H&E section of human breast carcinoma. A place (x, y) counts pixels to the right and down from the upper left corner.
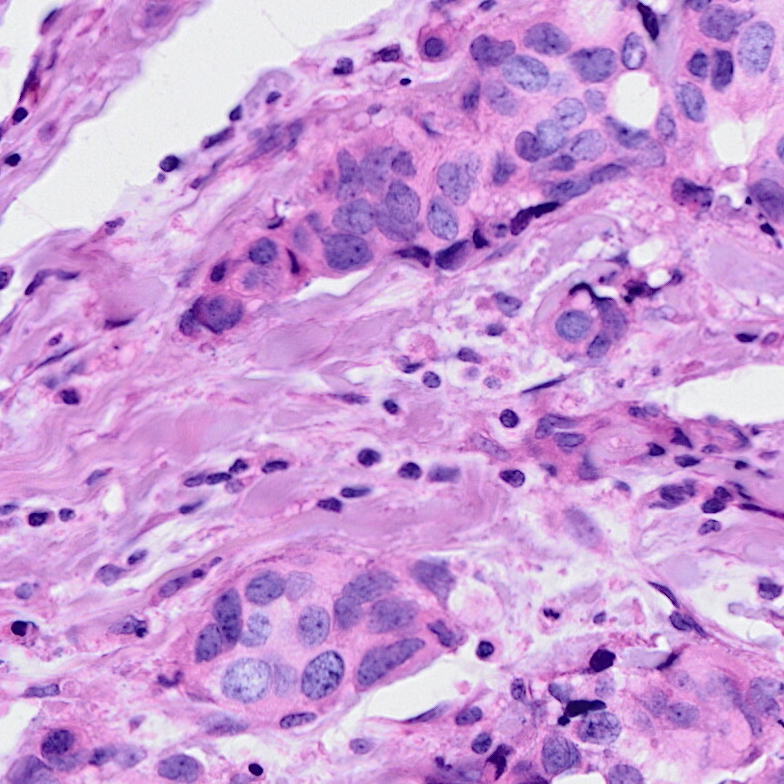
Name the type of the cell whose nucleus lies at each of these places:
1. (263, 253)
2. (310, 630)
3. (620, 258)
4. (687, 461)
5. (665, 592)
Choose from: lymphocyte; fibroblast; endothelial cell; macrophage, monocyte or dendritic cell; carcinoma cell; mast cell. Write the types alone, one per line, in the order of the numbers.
carcinoma cell
carcinoma cell
fibroblast
lymphocyte
fibroblast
